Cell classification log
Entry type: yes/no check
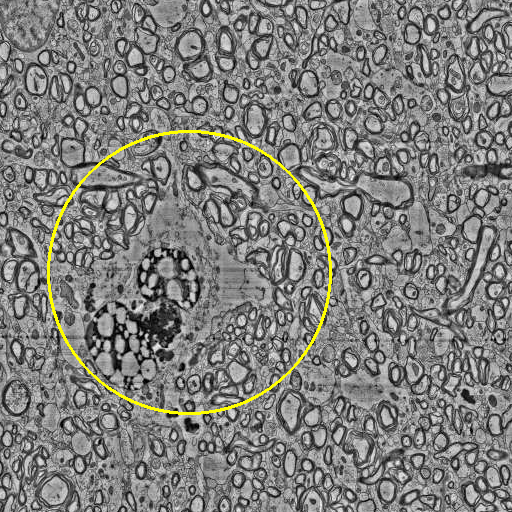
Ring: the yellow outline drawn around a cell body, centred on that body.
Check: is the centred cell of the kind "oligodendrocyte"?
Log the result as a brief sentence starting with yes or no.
No, the cell is of another kind.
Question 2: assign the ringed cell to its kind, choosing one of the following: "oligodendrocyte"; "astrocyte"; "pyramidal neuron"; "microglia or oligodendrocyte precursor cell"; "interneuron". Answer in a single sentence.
Instead, the cell at the centre of the ring is an astrocyte.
